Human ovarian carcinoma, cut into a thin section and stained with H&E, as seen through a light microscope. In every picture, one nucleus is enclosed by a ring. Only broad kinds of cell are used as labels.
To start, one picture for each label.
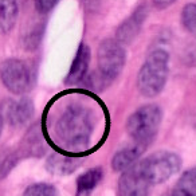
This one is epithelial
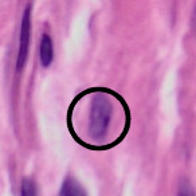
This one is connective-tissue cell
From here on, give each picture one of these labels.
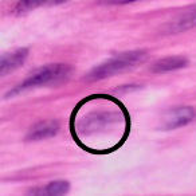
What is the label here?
connective-tissue cell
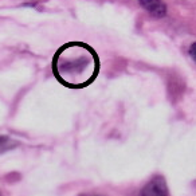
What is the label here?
connective-tissue cell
